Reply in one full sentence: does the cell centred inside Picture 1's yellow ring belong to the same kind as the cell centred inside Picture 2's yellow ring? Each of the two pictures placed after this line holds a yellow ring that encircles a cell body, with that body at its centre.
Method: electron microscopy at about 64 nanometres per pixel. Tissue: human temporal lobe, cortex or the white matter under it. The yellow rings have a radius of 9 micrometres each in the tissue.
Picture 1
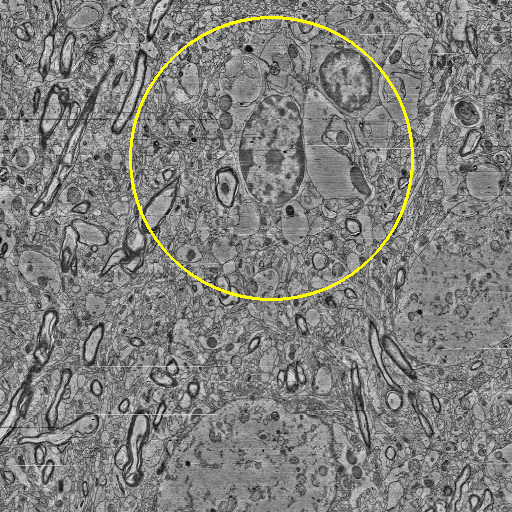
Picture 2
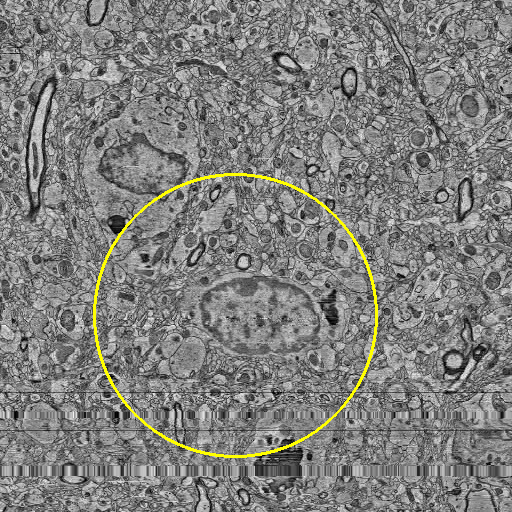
No, the ring-centred cells in Picture 1 and Picture 2 are of two separate kinds.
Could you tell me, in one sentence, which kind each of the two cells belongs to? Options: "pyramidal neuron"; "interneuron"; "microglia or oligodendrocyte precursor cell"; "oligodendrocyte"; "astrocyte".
At the centre of the first ring sits a microglial cell or oligodendrocyte precursor cell, and at the centre of the second sits an oligodendrocyte.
